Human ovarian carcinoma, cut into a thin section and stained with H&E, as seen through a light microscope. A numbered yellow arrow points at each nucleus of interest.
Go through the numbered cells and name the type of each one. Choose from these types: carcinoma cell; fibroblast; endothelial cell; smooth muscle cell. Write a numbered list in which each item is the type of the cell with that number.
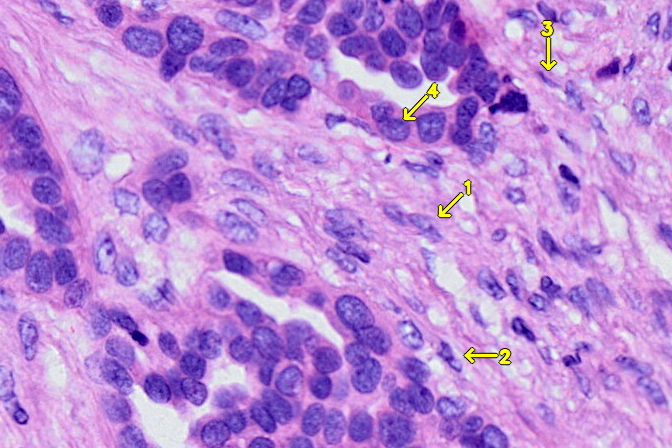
1. fibroblast
2. fibroblast
3. fibroblast
4. carcinoma cell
